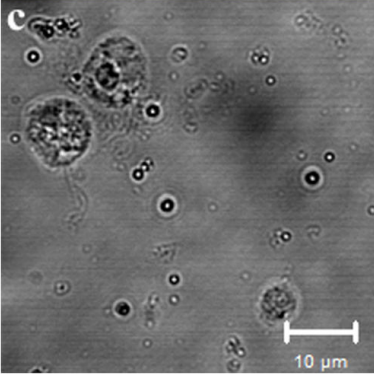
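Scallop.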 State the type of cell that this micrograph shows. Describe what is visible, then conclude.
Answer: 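Haemocytes. Loose, separate rounded cells lie in a suspension-like field. Cells have granular cytoplasm and no tissue arrangement.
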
